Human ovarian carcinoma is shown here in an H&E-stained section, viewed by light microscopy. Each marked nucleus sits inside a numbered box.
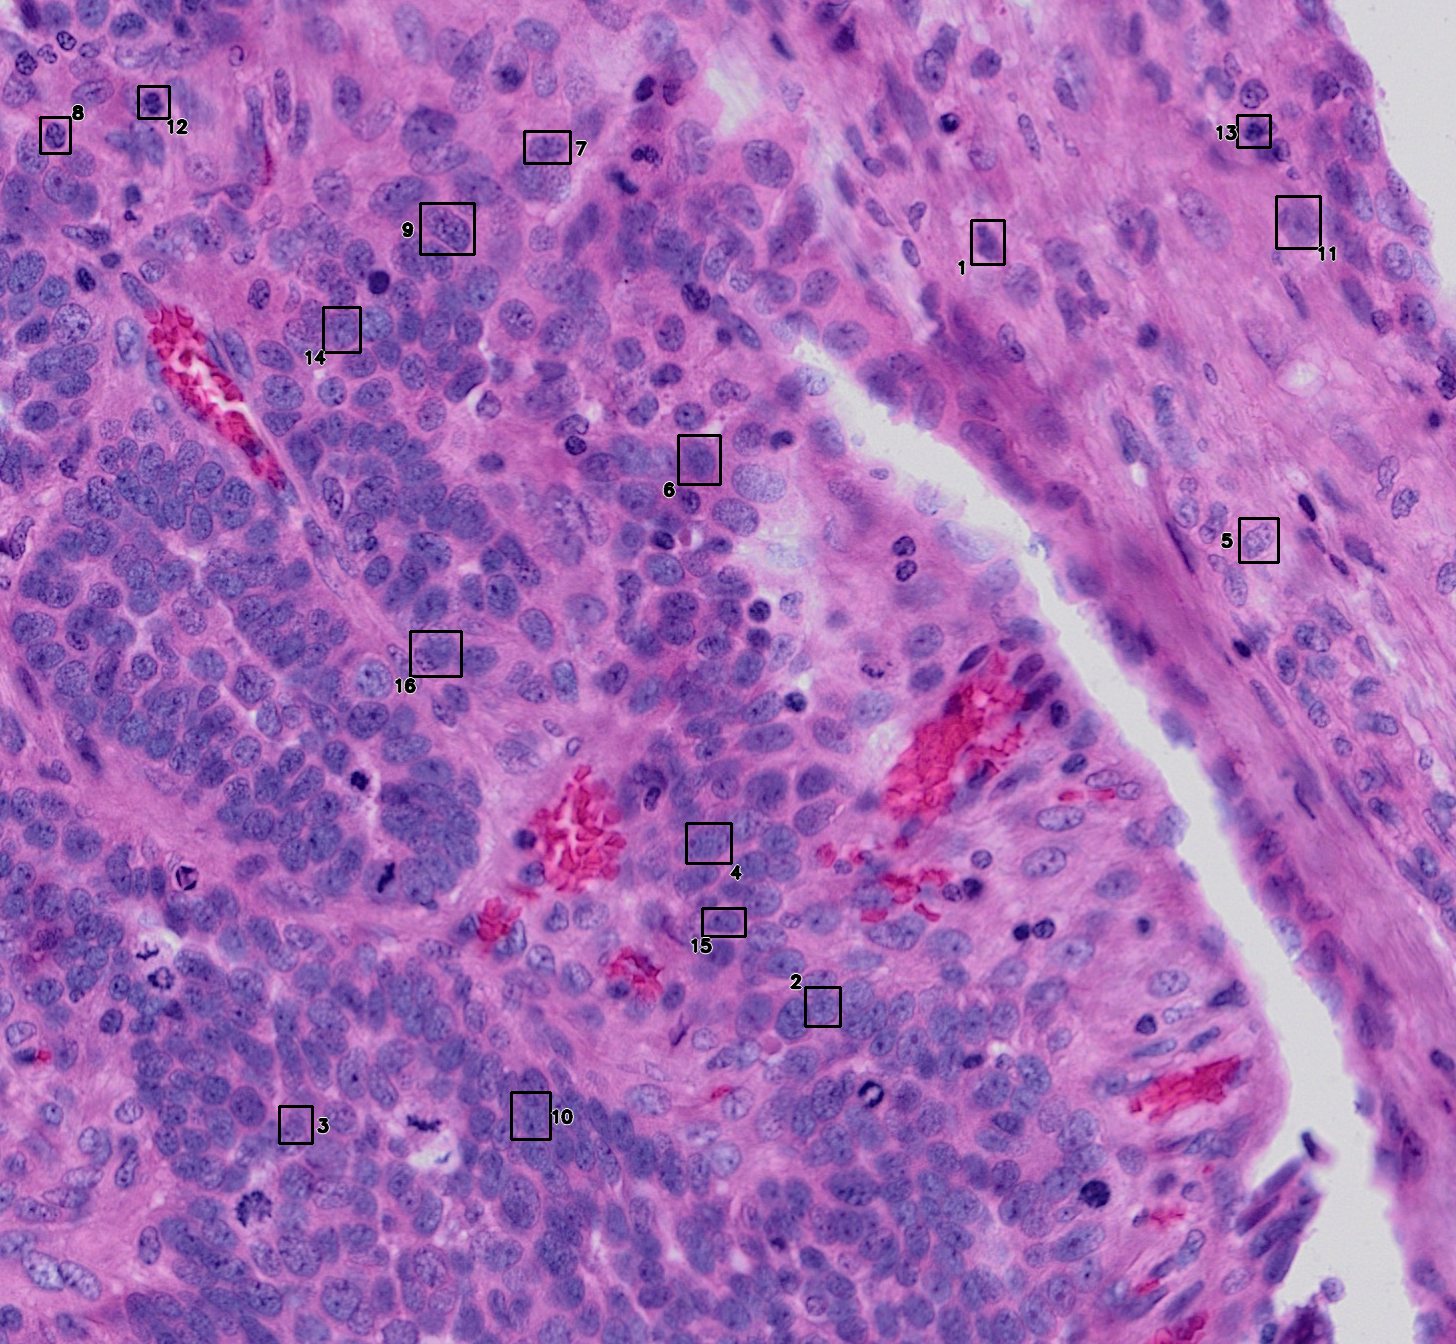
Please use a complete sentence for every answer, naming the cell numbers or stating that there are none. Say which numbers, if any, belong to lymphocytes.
The cells given the numbers 8, 12 and 13 are lymphocytes.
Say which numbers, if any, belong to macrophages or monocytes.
On this slide, the cells numbered 1 and 7 are macrophages or monocytes.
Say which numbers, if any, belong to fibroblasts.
The cells tagged 5 and 11 are fibroblasts in this tissue section.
